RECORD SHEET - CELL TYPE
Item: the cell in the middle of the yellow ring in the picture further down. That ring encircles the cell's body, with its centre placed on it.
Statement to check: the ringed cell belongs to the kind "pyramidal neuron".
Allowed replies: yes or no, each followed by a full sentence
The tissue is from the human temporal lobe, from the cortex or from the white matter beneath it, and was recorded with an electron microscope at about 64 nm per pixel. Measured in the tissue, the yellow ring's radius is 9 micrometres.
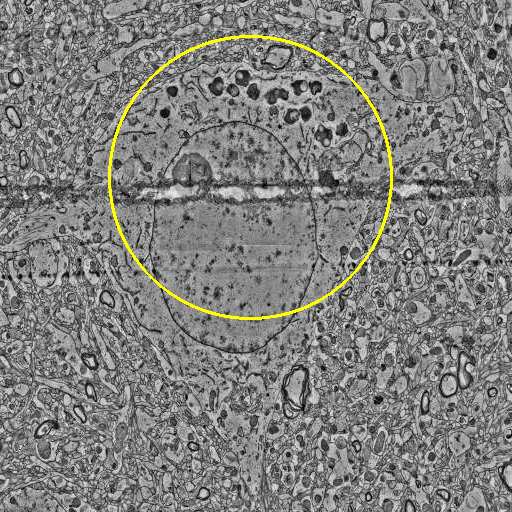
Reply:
Yes, the cell held at the centre of the ring in the picture is of that kind.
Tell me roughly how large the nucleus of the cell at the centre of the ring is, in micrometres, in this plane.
In this plane, roughly 15 by 11 micrometres.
